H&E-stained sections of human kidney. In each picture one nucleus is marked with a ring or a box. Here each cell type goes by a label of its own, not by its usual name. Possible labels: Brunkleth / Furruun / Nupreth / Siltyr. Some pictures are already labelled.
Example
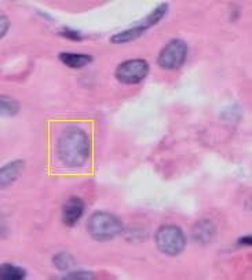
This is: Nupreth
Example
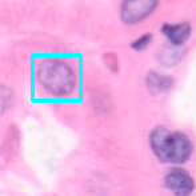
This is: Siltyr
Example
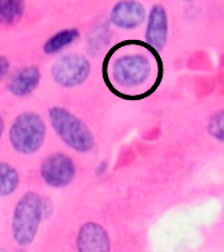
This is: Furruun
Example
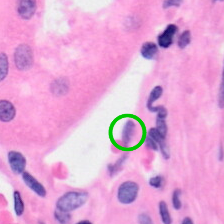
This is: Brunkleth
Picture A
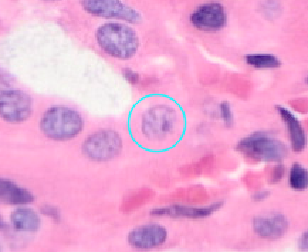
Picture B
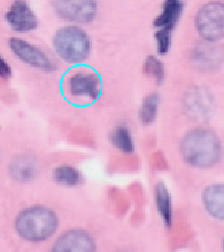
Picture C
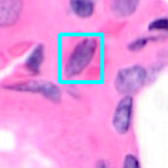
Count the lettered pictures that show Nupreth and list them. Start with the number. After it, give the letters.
2: A, B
